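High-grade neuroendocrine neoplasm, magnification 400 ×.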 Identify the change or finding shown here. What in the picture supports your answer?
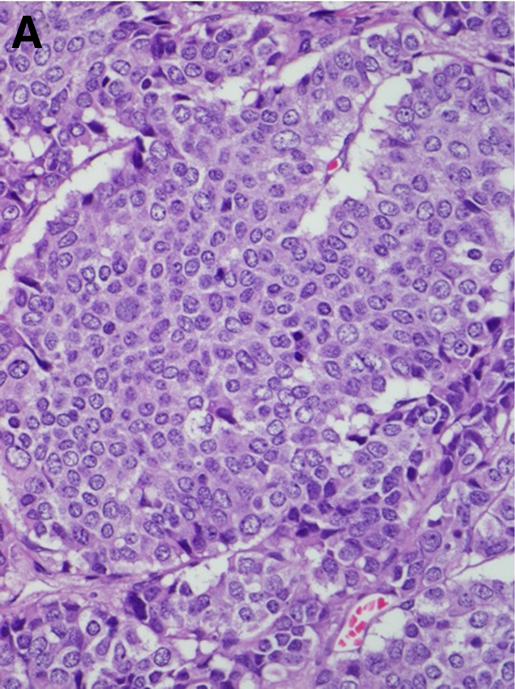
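Tumour cells form a large nest separated by thin fibrovascular septa. Narrow cords of cells run along the septa at the edges. That points to this answer: nests, cords, and trabeculae.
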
